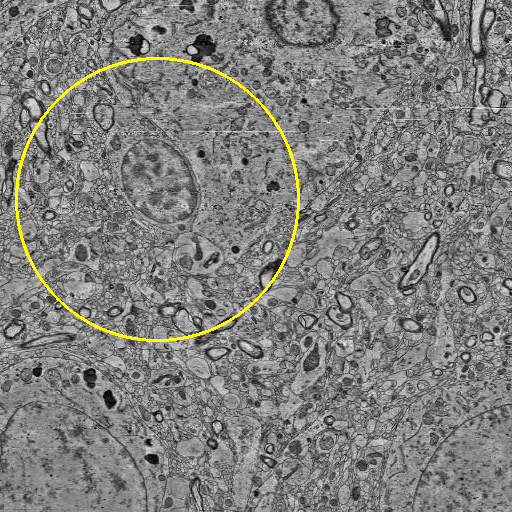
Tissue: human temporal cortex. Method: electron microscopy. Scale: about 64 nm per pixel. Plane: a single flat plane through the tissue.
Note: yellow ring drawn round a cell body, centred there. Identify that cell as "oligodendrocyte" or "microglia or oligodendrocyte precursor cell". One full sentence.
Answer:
The cell in the middle of the ring is an oligodendrocyte.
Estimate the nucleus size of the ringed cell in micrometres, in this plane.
The nucleus appears roughly 6 by 4 micrometres in this plane.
